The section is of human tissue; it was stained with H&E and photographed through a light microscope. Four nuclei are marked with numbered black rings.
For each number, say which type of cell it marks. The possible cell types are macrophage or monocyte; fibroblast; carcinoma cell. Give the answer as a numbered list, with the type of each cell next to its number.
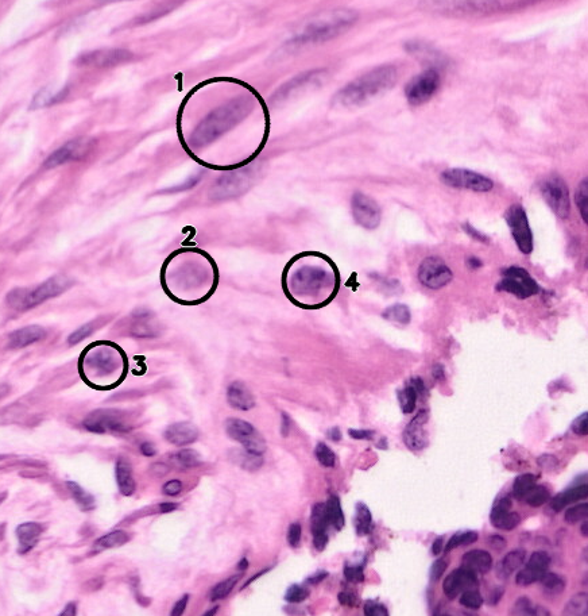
1. fibroblast
2. fibroblast
3. fibroblast
4. macrophage or monocyte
